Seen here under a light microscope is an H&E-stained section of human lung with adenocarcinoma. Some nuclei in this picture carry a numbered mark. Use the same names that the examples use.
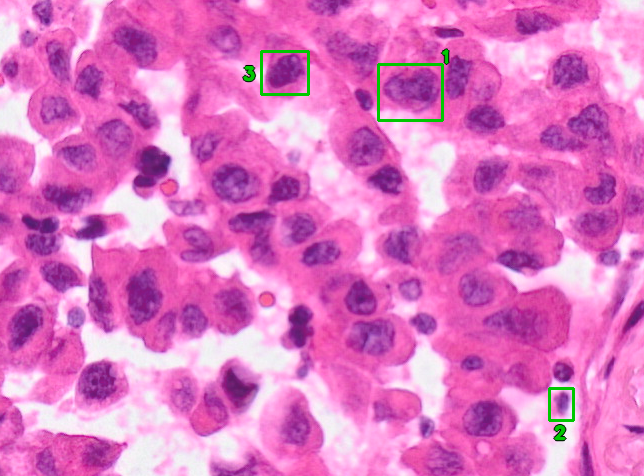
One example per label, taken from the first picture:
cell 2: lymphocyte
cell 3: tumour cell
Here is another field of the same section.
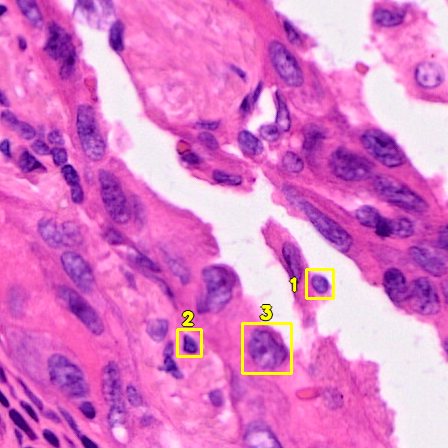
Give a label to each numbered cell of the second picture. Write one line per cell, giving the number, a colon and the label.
1: lymphocyte
2: lymphocyte
3: tumour cell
